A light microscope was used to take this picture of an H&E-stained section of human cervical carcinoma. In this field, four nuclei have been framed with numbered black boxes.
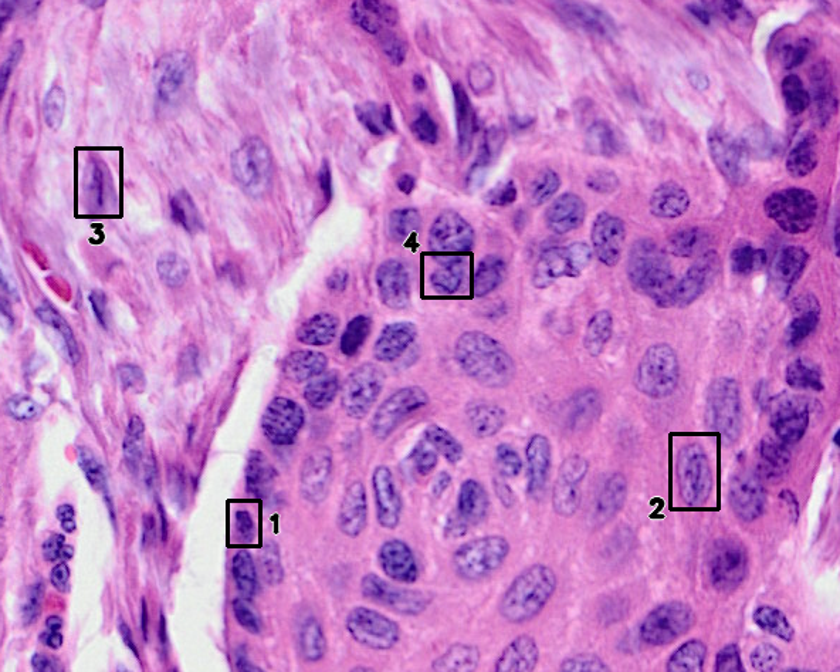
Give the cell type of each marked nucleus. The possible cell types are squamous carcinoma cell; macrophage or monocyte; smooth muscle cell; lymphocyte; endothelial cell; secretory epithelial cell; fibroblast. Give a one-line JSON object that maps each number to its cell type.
{"1": "squamous carcinoma cell", "2": "squamous carcinoma cell", "3": "fibroblast", "4": "squamous carcinoma cell"}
